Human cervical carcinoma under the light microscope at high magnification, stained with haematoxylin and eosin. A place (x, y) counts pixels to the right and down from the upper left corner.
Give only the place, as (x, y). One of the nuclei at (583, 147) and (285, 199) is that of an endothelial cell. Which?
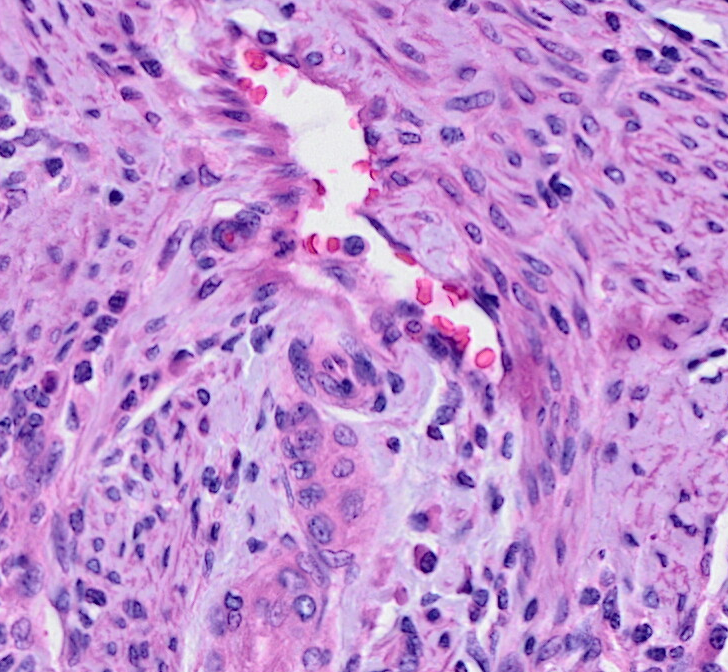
(285, 199)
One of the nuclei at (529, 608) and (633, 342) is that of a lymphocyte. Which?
(529, 608)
